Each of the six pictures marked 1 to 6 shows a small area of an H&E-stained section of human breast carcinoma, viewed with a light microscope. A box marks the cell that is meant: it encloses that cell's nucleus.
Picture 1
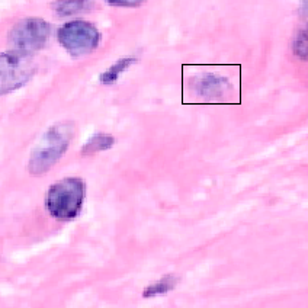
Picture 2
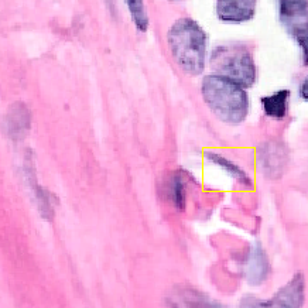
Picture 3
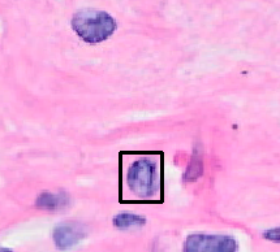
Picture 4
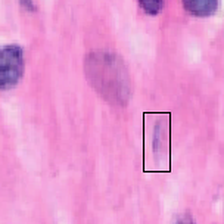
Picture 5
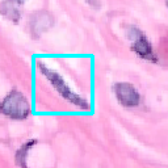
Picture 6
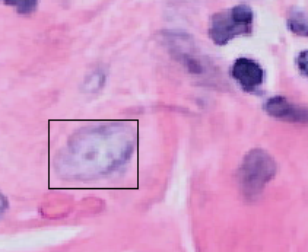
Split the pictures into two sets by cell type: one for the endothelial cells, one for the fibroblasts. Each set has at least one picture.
1: fibroblast
2: endothelial cell
3: endothelial cell
4: fibroblast
5: fibroblast
6: endothelial cell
